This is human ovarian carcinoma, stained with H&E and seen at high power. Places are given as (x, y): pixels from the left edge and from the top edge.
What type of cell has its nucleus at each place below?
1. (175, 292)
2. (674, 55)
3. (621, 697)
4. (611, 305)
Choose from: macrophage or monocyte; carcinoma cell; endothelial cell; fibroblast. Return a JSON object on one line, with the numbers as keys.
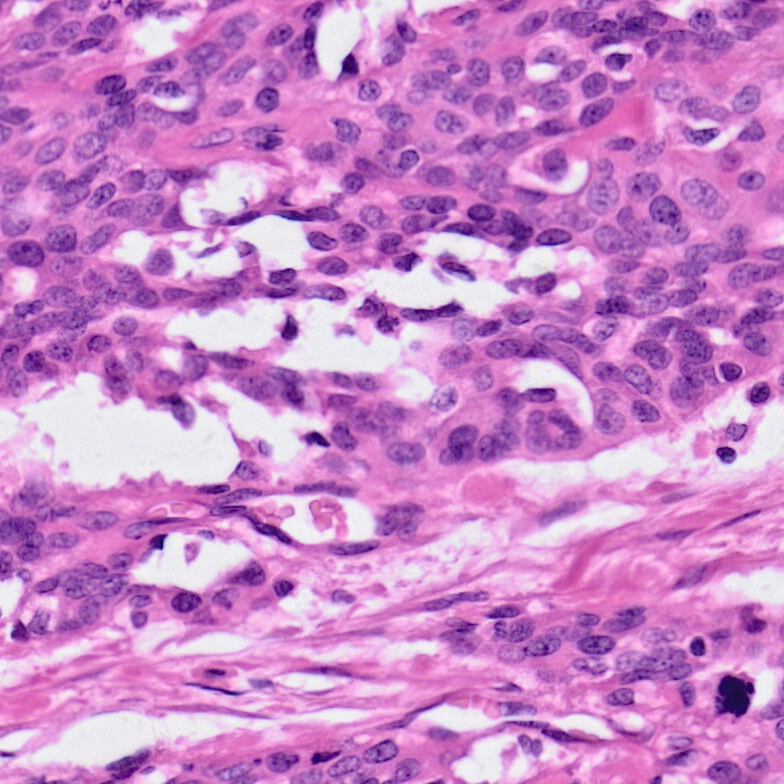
{"1": "carcinoma cell", "2": "carcinoma cell", "3": "macrophage or monocyte", "4": "carcinoma cell"}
